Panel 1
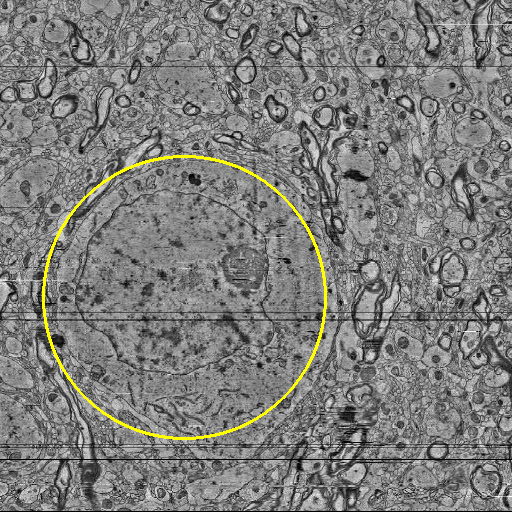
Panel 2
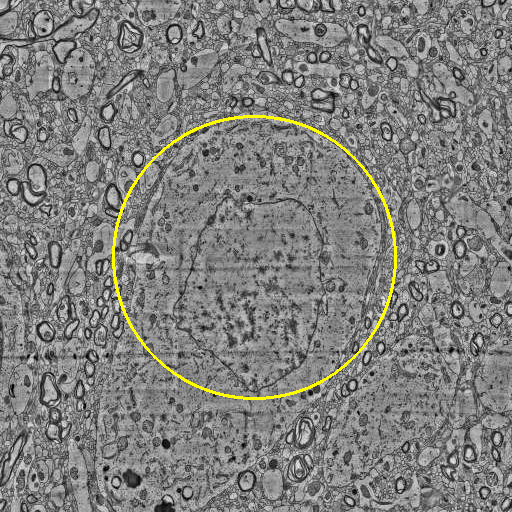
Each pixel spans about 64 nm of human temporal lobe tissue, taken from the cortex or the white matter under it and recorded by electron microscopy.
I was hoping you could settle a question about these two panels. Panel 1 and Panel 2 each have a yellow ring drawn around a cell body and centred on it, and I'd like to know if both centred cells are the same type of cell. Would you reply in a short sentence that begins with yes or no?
Yes, both are the same type of cell.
